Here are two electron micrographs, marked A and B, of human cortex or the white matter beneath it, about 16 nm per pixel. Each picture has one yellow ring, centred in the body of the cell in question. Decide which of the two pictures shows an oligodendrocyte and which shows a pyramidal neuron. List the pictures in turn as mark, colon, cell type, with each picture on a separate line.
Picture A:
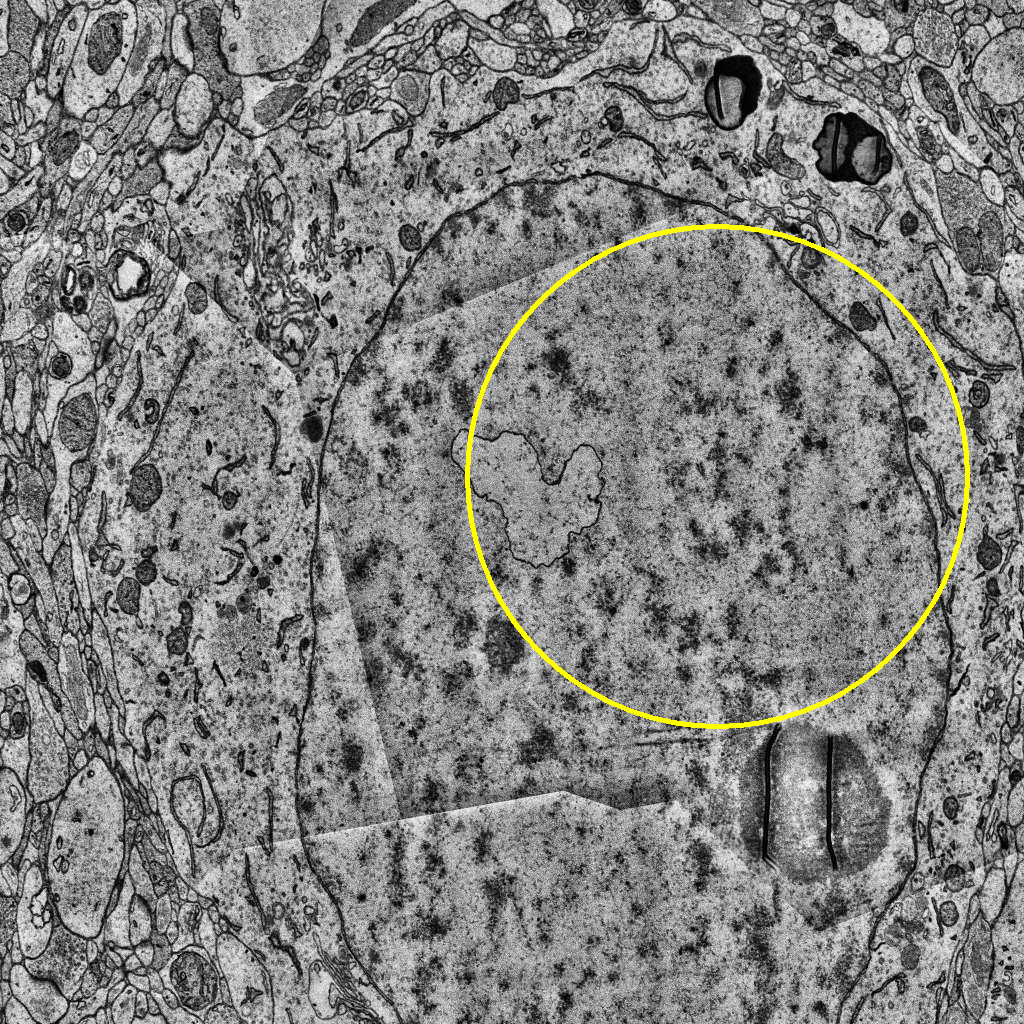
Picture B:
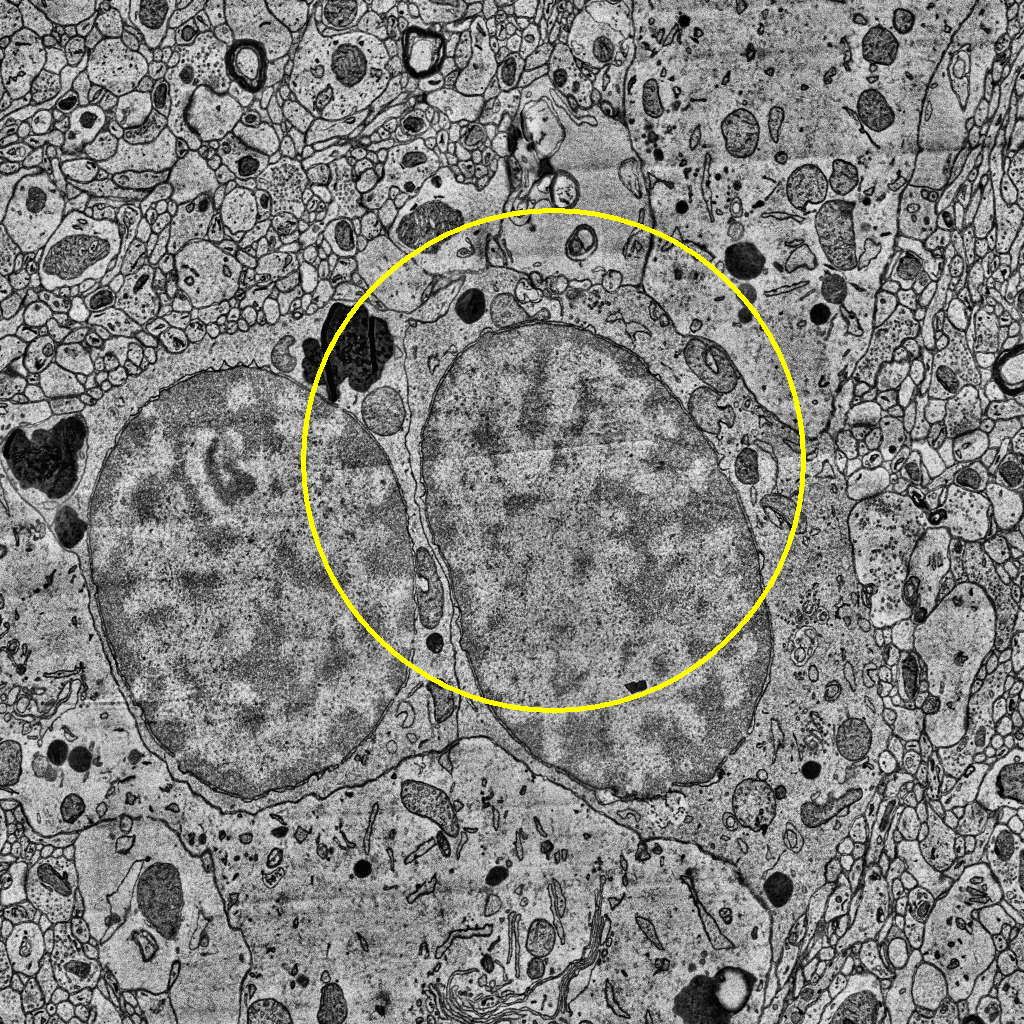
A: pyramidal neuron
B: oligodendrocyte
